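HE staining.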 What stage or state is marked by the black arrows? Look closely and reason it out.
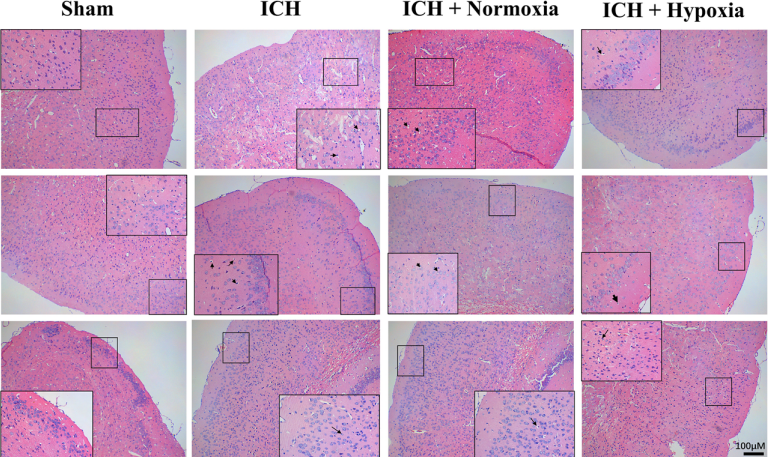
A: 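The arrowed cells have deep blue nuclei. Other cells have lighter blue nuclei. So: injured cells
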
